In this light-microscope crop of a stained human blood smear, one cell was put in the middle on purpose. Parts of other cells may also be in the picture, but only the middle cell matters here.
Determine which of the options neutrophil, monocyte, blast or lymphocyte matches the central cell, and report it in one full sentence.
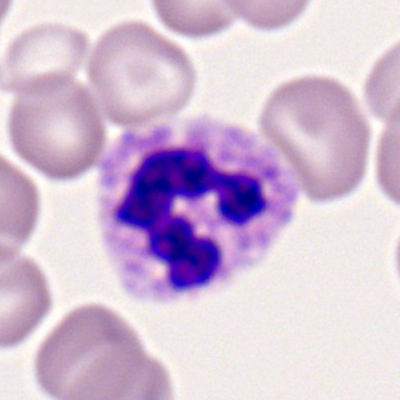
The target cell in the middle of the crop is a neutrophil.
